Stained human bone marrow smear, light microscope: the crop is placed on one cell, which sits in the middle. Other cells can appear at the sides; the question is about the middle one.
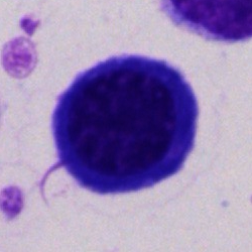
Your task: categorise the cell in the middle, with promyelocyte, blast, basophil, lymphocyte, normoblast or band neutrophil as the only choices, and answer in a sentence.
Looking at the middle of the crop, the cell there is a normoblast.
